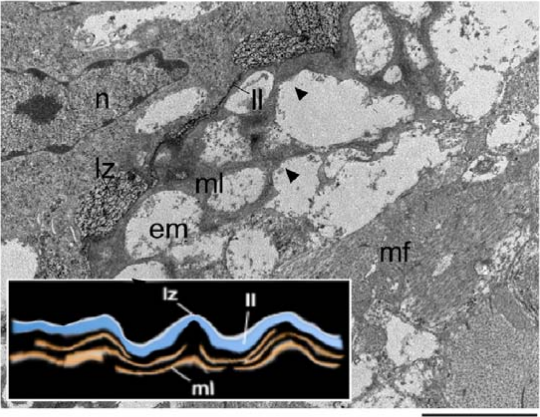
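A cell with a nucleus lies at the upper left, and a bundle of muscle fibres runs across the lower right. Between them the extracellular matrix is broken into many pale, rounded pockets separated by dark, electron-dense strands. The layers of the basal lamina do not run straight but bend and wrap around these pockets. The result is a disorganized, undulating basal lamina in place of an ordered sheet.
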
